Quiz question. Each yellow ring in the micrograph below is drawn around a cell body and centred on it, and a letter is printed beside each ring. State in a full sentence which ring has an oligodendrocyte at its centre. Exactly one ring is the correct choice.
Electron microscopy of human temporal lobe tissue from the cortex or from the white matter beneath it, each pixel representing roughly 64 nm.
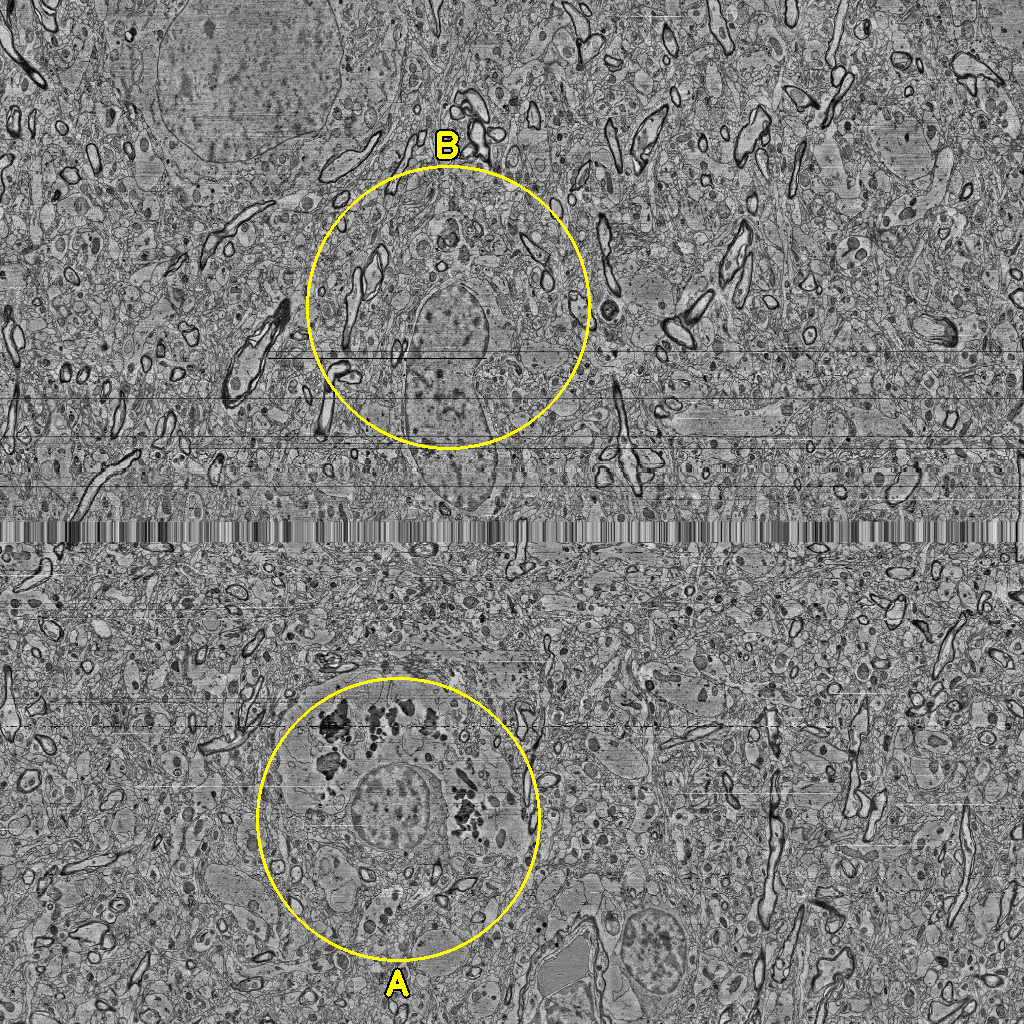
The correct ring is ring A.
